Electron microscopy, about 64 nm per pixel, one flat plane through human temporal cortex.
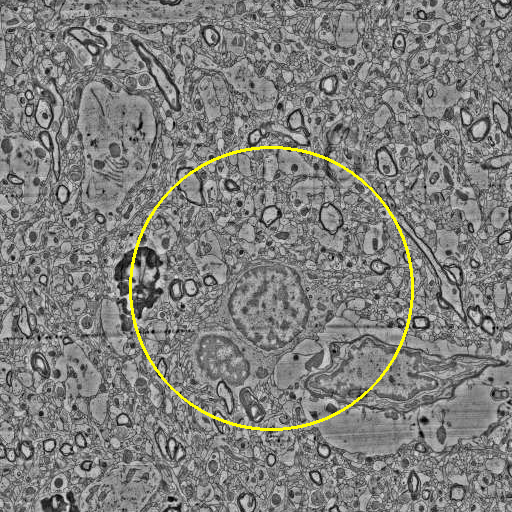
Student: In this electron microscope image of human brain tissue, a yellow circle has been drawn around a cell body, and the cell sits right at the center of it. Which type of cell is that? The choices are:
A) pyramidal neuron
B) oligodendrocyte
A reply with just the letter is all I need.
B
